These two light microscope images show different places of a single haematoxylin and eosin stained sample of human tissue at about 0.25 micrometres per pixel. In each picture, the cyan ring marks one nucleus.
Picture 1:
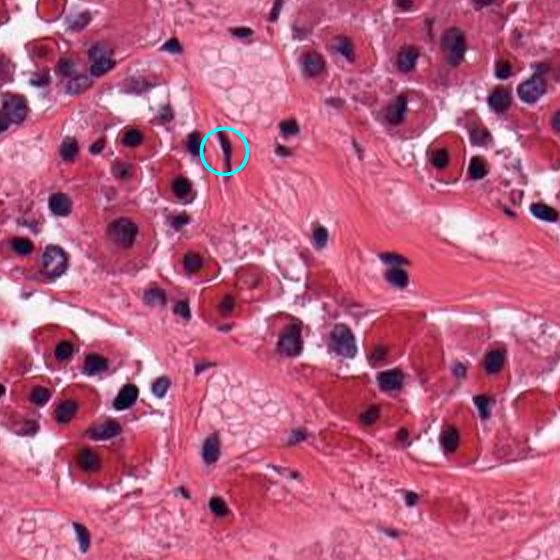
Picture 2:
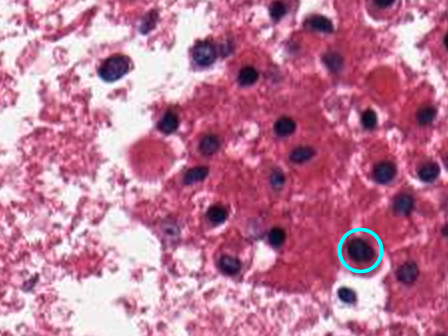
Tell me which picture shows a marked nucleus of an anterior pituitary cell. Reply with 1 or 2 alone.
2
